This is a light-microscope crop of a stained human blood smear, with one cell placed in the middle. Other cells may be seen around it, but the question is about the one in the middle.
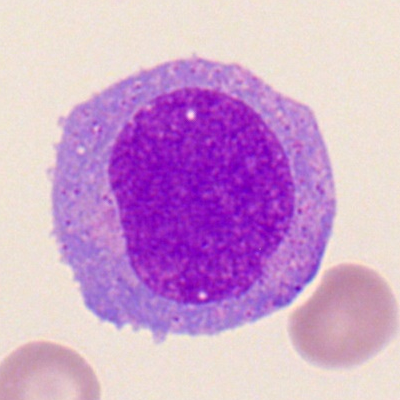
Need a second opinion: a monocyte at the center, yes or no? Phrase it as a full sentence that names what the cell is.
No, instead of a monocyte, the centred cell represents a myeloblast.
